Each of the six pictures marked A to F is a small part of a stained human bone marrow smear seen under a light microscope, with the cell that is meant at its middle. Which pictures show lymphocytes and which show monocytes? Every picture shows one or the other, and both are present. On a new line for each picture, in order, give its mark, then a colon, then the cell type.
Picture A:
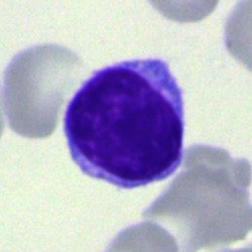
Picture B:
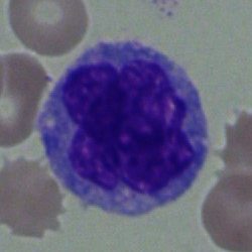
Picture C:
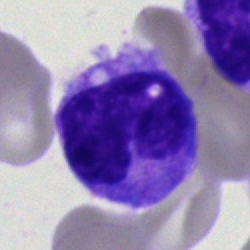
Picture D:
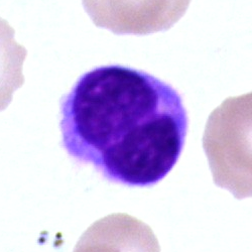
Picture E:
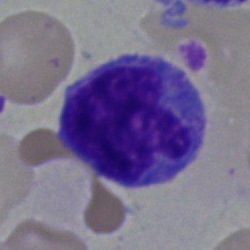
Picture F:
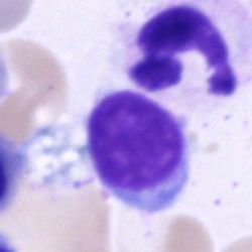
A: lymphocyte
B: monocyte
C: monocyte
D: lymphocyte
E: monocyte
F: lymphocyte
